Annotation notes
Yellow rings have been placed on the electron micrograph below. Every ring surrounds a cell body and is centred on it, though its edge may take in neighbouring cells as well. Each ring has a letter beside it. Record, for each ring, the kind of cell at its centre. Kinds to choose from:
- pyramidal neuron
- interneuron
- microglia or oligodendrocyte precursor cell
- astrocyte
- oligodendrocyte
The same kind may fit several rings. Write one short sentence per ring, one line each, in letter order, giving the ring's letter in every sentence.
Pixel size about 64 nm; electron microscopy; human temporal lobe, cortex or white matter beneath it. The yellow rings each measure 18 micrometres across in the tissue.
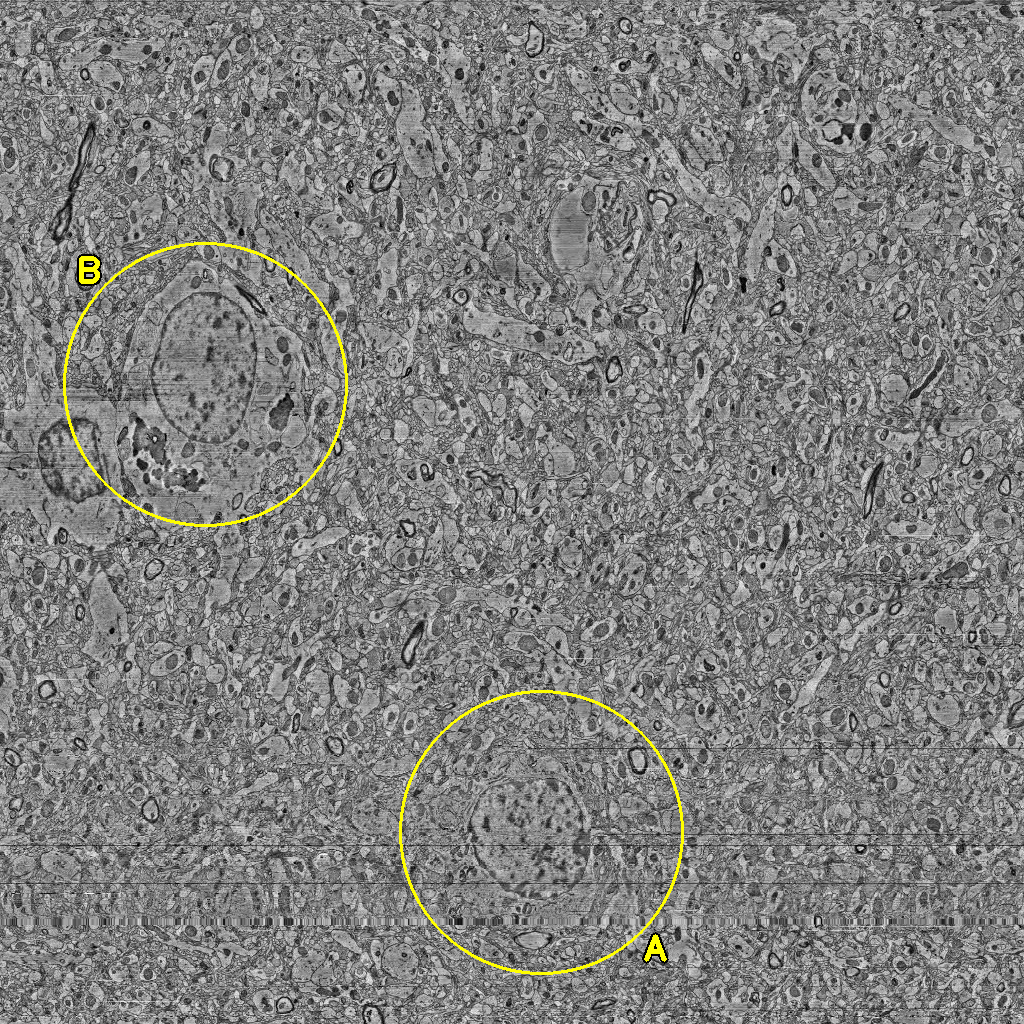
Ring A surrounds a microglial cell or oligodendrocyte precursor cell.
Ring B surrounds an astrocyte.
